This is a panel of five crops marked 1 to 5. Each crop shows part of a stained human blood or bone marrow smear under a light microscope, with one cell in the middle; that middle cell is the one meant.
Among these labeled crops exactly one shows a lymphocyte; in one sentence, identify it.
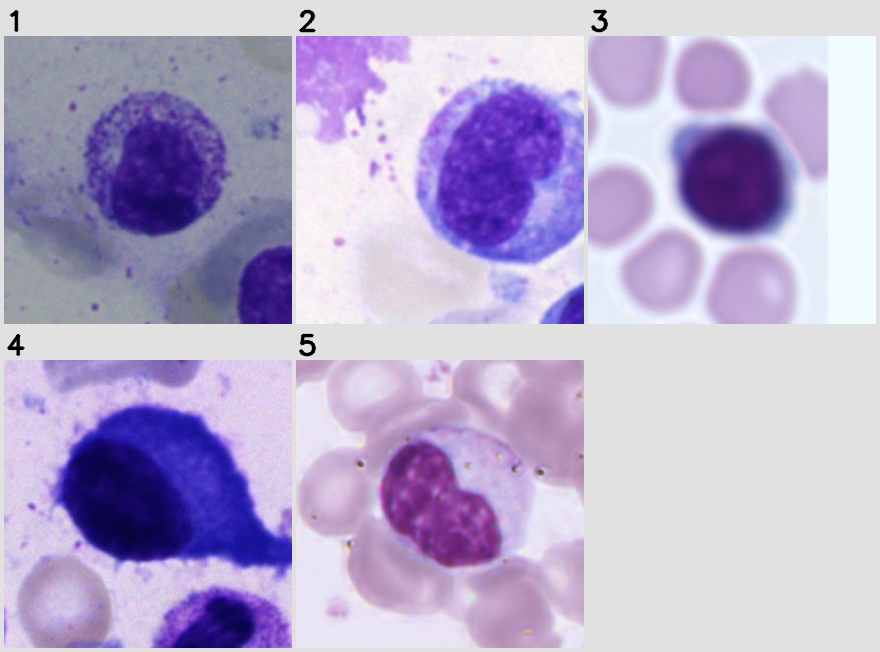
Crop 3, of the crops presented, is the one showing a lymphocyte.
